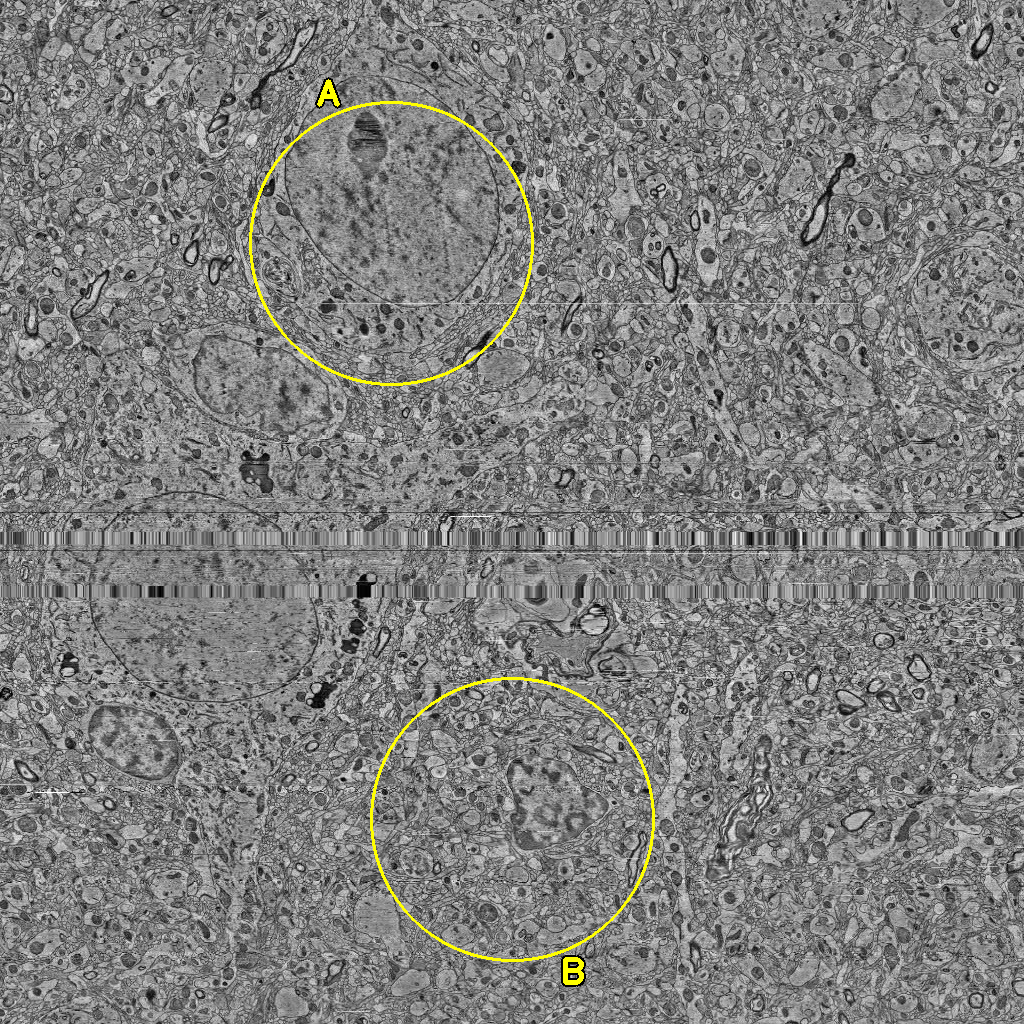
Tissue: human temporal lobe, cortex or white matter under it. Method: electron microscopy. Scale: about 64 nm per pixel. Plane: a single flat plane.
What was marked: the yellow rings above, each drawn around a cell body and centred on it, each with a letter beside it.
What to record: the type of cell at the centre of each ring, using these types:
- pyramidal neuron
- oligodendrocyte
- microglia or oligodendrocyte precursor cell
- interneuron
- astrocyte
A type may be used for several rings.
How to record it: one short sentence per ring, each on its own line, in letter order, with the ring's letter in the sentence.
Centred in ring A is a pyramidal neuron.
Centred in ring B is a microglial cell or oligodendrocyte precursor cell.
